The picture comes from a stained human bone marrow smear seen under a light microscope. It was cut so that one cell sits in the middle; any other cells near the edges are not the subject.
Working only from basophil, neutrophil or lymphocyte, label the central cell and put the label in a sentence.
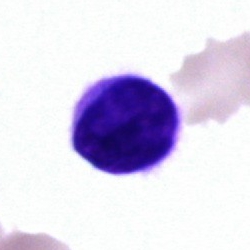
What the crop centres on is a lymphocyte.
